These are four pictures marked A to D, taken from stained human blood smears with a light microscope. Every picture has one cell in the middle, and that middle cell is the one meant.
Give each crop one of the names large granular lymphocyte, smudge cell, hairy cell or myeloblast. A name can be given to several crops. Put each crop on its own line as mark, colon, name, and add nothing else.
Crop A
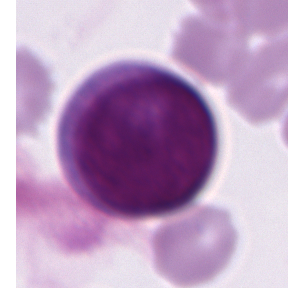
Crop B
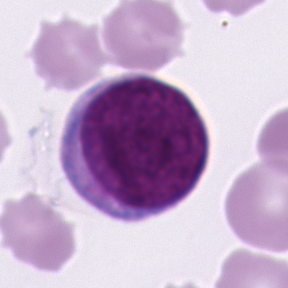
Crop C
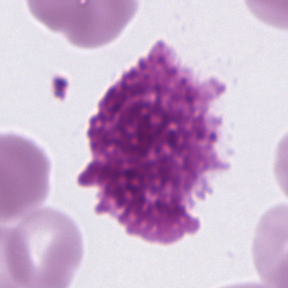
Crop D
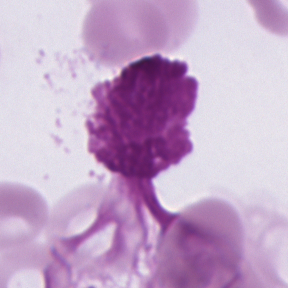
A: myeloblast
B: myeloblast
C: smudge cell
D: smudge cell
